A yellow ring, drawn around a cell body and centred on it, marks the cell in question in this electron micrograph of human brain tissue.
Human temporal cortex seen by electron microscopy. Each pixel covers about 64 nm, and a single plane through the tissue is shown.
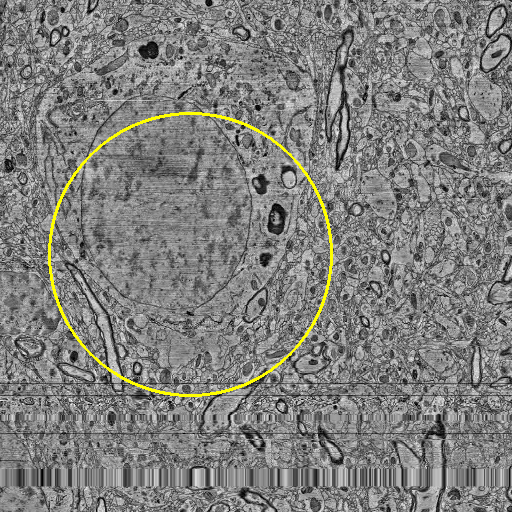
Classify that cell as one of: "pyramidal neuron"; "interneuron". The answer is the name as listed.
pyramidal neuron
